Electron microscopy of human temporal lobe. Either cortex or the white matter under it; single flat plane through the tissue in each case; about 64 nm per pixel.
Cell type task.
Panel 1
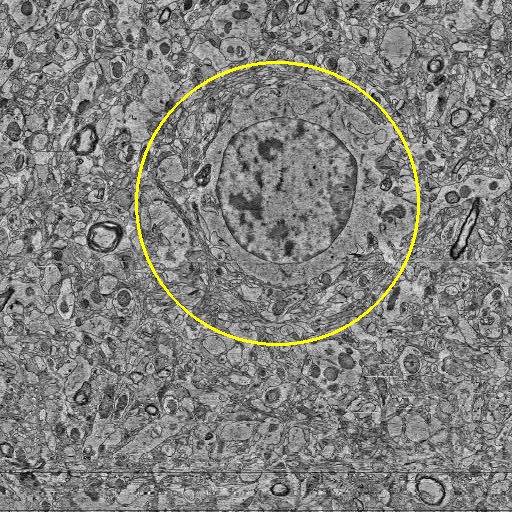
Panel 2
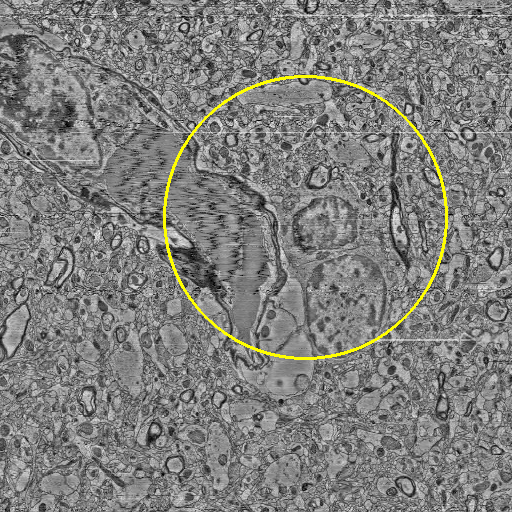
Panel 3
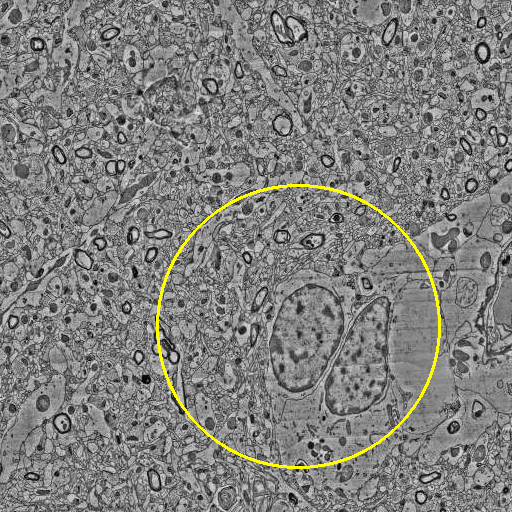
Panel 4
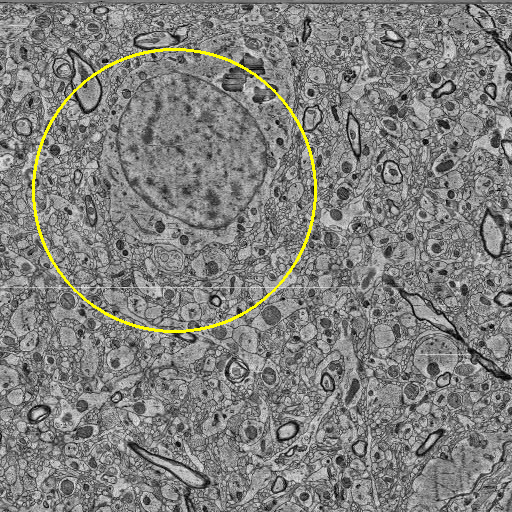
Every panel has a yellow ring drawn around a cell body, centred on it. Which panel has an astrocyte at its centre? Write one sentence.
It sits at the centre of the ring in Panel 1.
